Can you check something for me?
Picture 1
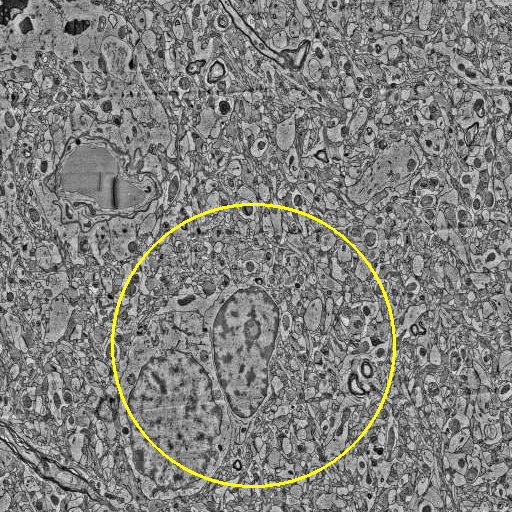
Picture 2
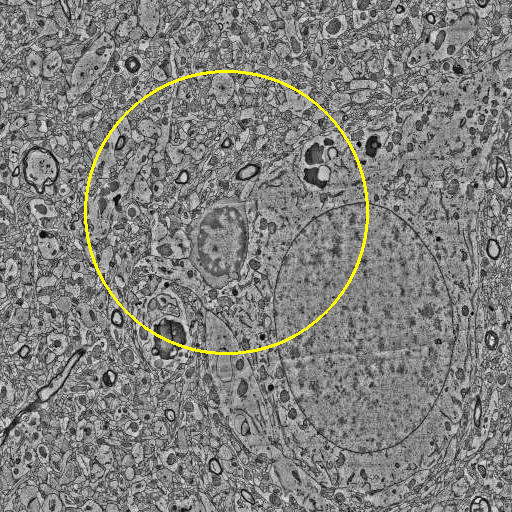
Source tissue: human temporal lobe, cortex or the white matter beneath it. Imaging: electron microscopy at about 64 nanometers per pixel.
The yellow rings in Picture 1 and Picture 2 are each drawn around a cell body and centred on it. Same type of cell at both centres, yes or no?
no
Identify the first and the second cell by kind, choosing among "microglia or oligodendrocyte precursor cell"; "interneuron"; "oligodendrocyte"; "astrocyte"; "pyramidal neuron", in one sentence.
The one in the first picture is a microglial cell or oligodendrocyte precursor cell, while the one in the second is an oligodendrocyte.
